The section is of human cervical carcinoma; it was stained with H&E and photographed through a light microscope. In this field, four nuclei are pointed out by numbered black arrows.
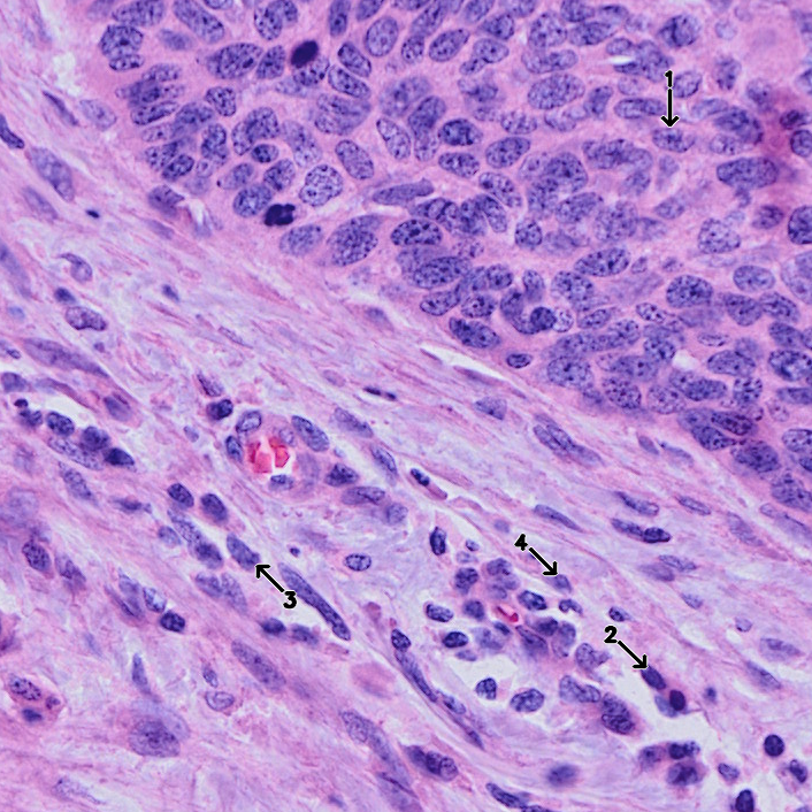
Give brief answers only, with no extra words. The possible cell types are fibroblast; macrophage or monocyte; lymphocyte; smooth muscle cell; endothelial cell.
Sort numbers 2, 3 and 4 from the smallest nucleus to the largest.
4, 2, 3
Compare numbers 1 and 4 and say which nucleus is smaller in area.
4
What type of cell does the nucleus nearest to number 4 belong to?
lymphocyte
